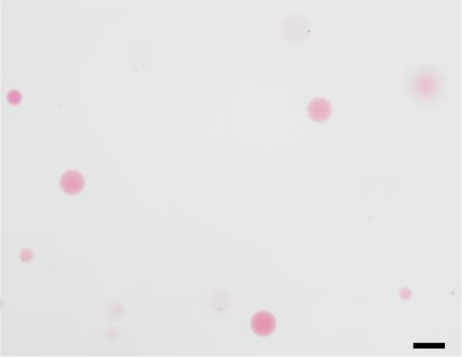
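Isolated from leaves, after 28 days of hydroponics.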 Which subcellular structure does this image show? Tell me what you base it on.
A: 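Separate smooth round spheres lie scattered on a pale background. The spheres are filled evenly with pink colour. The spheres differ widely in diameter. No green chloroplasts are visible in the spheres. The answer: vacuoles.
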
